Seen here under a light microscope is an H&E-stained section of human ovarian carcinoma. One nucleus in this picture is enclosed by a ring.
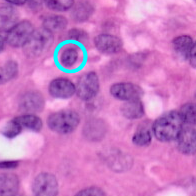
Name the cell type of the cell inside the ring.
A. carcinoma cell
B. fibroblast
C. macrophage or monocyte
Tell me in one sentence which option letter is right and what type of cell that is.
Option C is right in classifying the cell inside the ring as a macrophage or monocyte.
